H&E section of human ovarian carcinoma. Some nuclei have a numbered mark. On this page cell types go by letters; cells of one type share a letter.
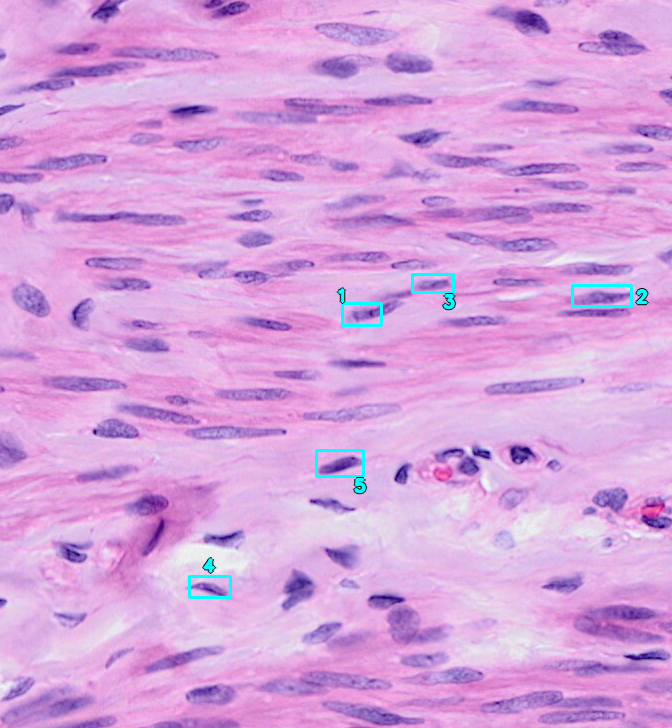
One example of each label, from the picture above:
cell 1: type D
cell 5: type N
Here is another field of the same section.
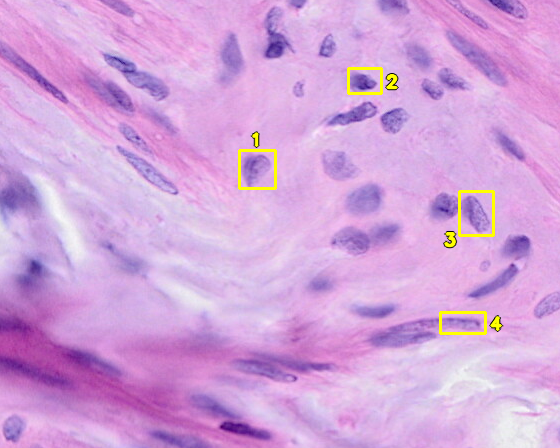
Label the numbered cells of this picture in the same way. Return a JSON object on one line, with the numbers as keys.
{"1": "type N", "2": "type N", "3": "type N", "4": "type D"}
